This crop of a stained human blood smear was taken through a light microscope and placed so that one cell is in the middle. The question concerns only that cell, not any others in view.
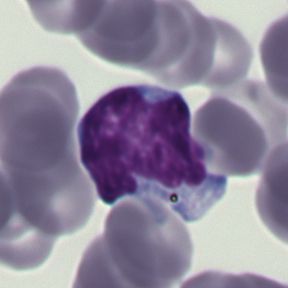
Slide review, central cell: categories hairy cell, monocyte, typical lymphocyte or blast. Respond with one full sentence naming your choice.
The cell in the middle of this crop is a typical lymphocyte.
